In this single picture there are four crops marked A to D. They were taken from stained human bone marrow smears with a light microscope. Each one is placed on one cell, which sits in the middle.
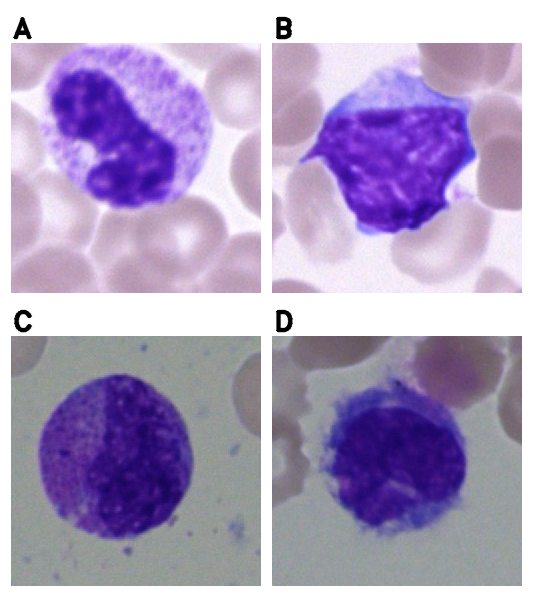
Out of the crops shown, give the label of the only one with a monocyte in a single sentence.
As for which crop shows a monocyte, it is crop D.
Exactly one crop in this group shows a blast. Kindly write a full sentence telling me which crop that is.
Crop B is where a blast is shown.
